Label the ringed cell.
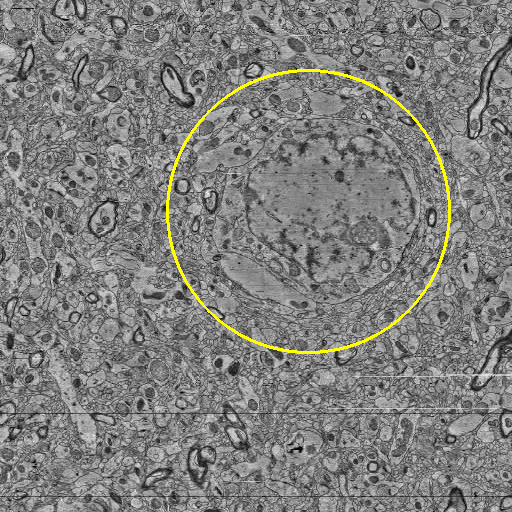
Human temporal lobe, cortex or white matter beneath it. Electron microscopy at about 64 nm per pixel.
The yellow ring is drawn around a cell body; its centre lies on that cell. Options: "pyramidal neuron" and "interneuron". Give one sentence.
The ringed cell is an interneuron.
